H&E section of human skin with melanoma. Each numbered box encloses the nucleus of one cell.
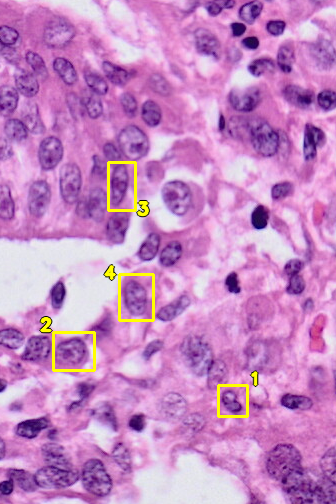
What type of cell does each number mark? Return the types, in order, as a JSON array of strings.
["macrophage or monocyte", "melanoma cell", "melanoma cell", "melanoma cell"]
